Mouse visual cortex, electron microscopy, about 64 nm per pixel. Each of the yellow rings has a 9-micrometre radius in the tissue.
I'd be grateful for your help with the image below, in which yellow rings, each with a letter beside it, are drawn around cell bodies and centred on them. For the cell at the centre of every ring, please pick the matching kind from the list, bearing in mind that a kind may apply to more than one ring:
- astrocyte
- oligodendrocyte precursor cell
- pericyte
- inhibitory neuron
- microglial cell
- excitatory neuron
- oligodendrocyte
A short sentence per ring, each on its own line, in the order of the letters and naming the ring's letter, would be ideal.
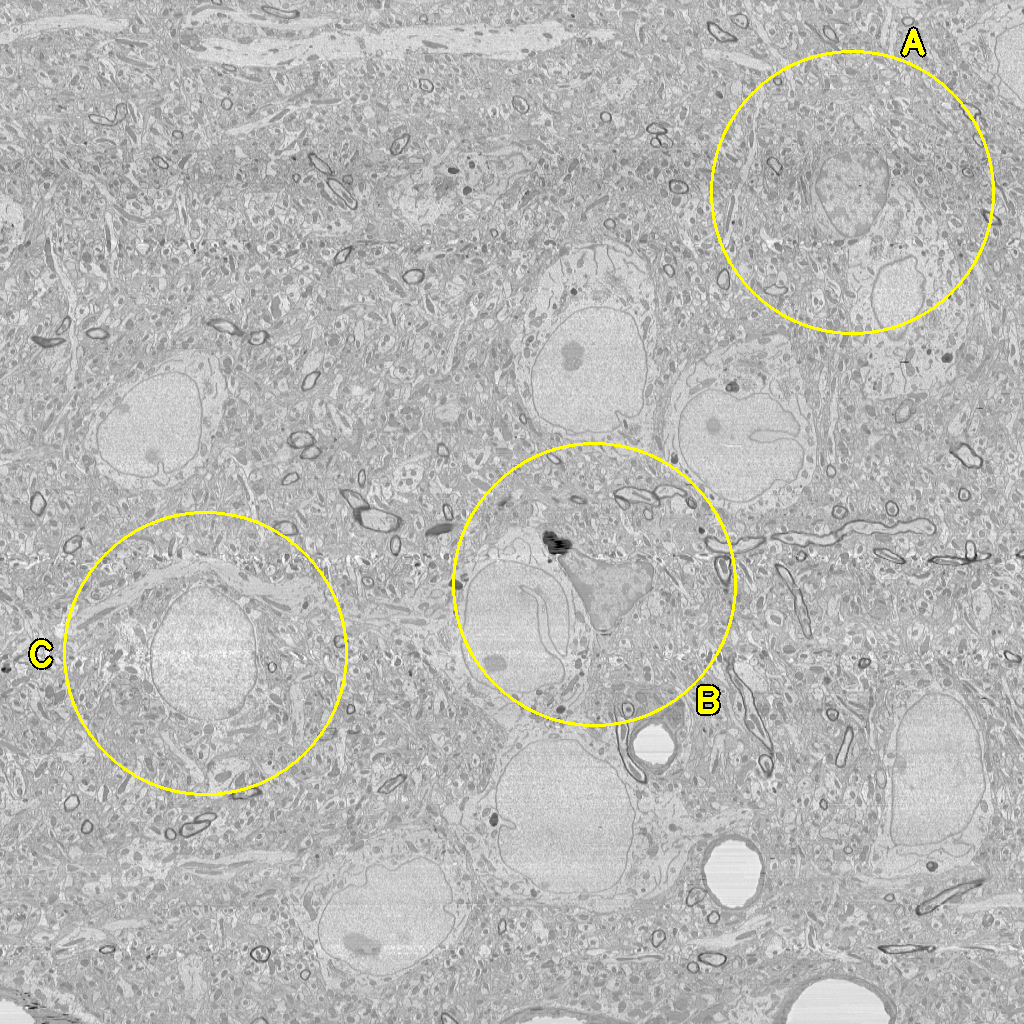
Inside ring A, the central cell is an oligodendrocyte.
Inside ring B, the central cell is a microglial cell.
Inside ring C, the central cell is an astrocyte.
